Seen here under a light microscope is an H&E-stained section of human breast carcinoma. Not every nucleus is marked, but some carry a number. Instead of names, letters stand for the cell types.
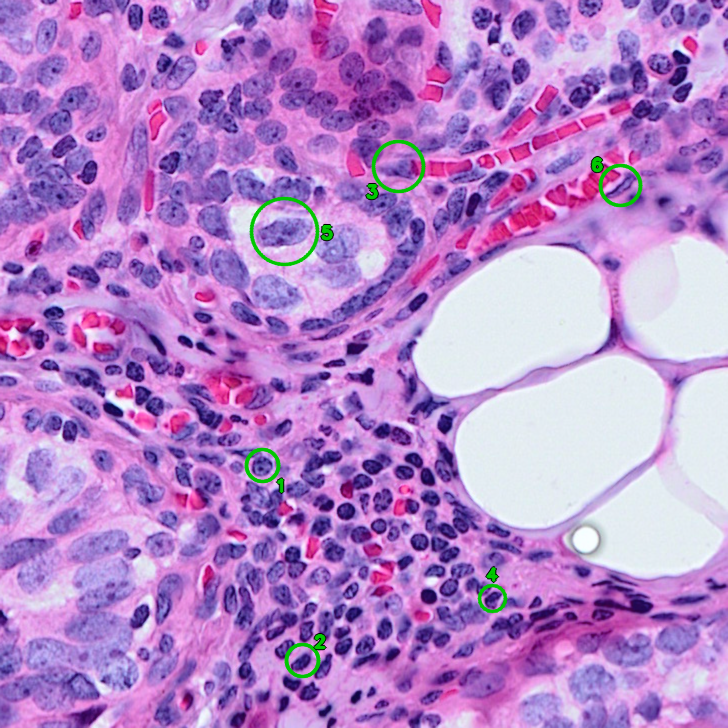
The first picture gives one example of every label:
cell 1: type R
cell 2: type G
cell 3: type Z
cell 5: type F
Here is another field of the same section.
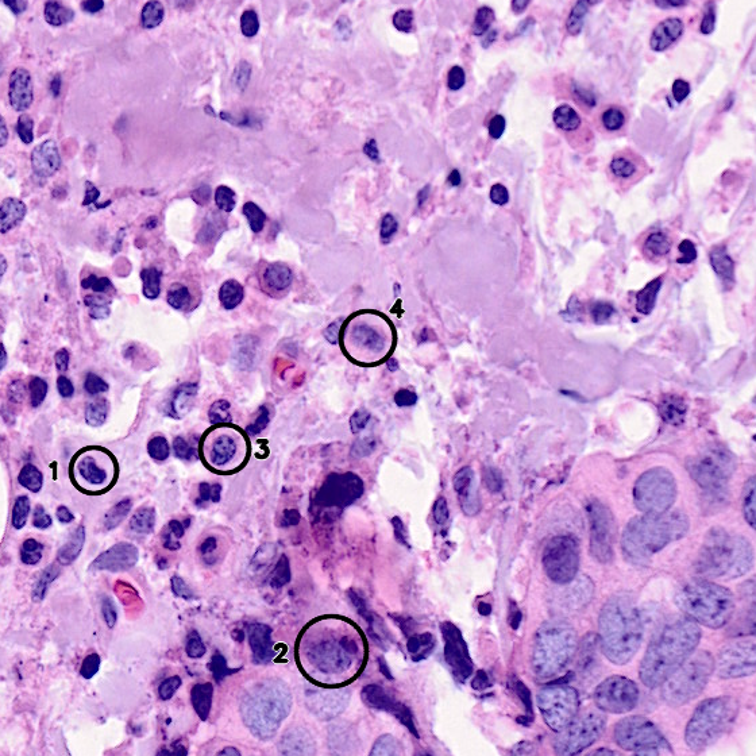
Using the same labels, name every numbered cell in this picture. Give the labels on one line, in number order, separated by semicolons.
type G; type F; type R; type R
